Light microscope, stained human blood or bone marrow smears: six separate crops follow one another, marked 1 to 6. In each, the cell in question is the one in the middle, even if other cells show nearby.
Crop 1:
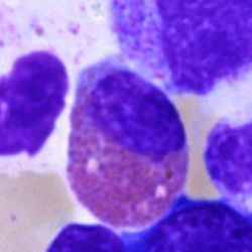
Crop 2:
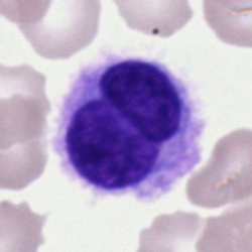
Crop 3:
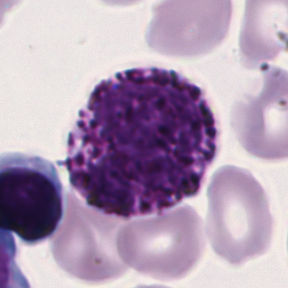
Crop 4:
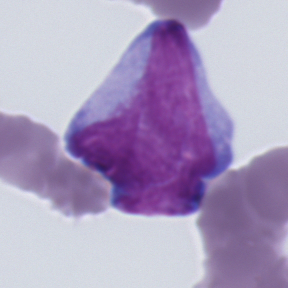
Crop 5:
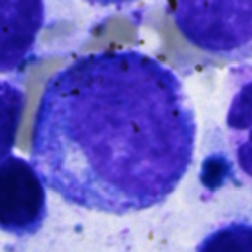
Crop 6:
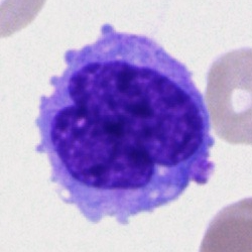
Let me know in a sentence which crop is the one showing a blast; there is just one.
Crop 4 is the one that shows a blast.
